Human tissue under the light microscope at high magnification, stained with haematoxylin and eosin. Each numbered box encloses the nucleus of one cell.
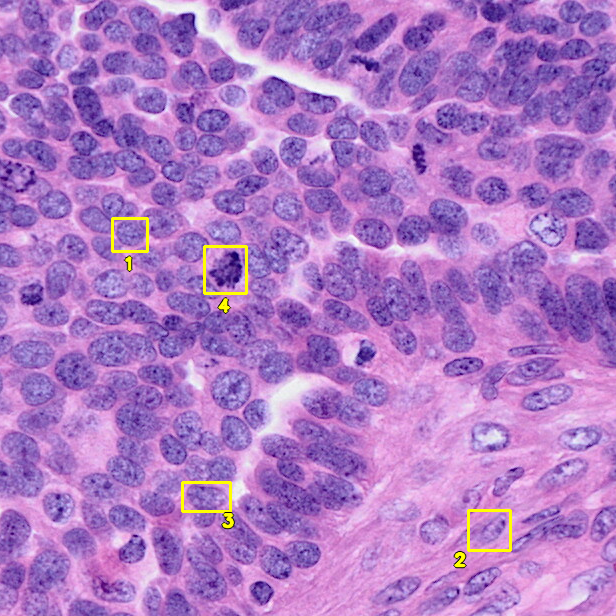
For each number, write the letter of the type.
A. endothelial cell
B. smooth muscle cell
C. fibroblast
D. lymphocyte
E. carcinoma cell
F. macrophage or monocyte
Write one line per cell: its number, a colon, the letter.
1: E
2: C
3: E
4: E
